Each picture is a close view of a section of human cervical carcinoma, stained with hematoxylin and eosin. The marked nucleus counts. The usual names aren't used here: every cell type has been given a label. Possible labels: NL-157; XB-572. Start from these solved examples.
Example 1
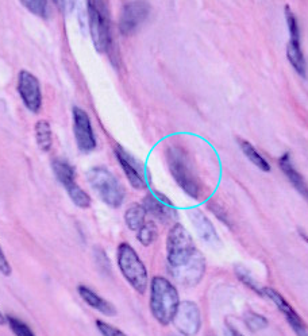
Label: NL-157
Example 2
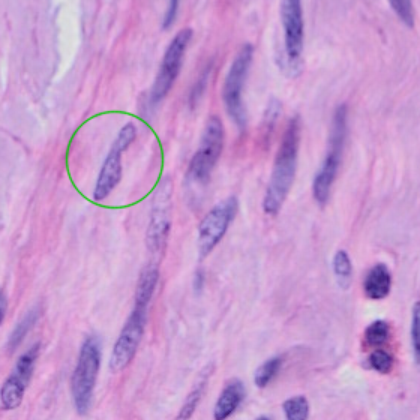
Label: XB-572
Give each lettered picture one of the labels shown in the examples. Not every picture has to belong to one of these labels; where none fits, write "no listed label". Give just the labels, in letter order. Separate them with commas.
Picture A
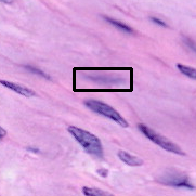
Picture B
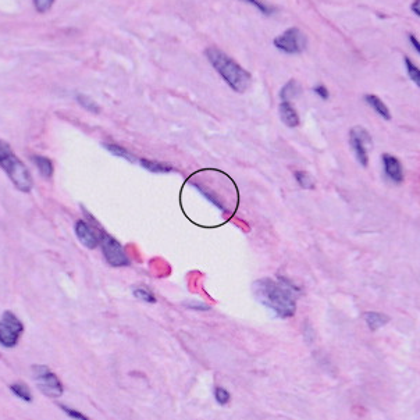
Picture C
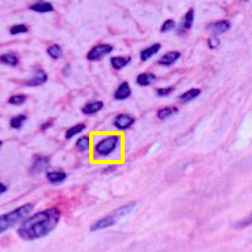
no listed label, NL-157, XB-572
